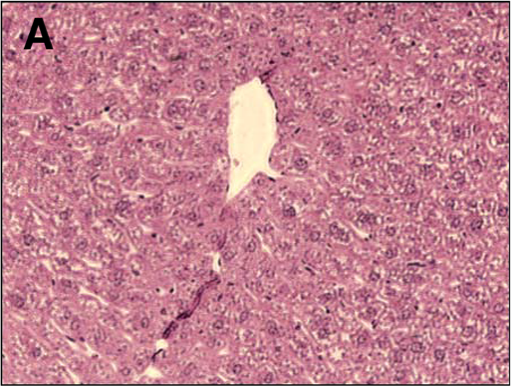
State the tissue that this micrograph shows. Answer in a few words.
Liver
